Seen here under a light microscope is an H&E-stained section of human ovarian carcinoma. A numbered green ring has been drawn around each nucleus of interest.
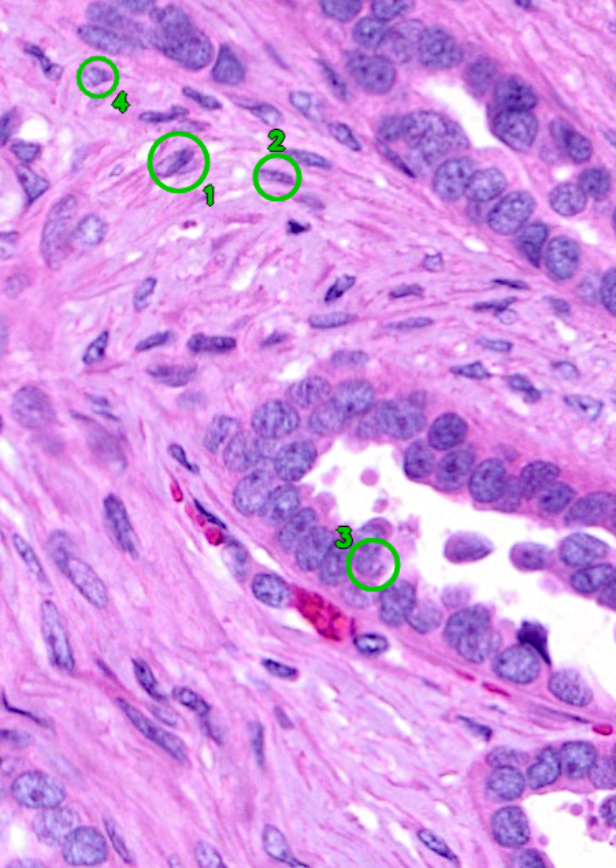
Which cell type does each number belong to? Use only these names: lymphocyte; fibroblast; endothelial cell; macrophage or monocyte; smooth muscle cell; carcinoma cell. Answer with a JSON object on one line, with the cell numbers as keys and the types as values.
{"1": "fibroblast", "2": "fibroblast", "3": "carcinoma cell", "4": "fibroblast"}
